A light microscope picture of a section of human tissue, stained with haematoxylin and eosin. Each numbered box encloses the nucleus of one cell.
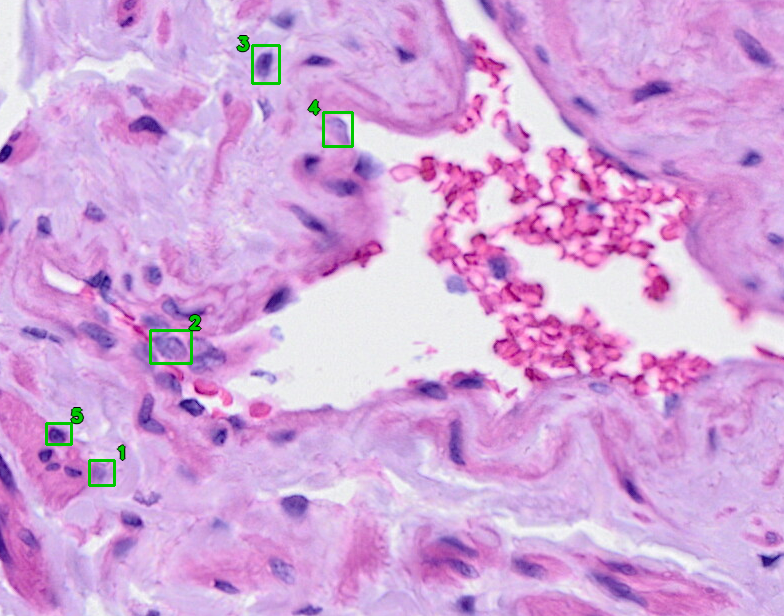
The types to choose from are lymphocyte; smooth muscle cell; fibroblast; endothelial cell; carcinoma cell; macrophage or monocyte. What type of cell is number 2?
endothelial cell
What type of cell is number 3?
fibroblast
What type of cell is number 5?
smooth muscle cell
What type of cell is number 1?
smooth muscle cell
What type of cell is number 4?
endothelial cell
